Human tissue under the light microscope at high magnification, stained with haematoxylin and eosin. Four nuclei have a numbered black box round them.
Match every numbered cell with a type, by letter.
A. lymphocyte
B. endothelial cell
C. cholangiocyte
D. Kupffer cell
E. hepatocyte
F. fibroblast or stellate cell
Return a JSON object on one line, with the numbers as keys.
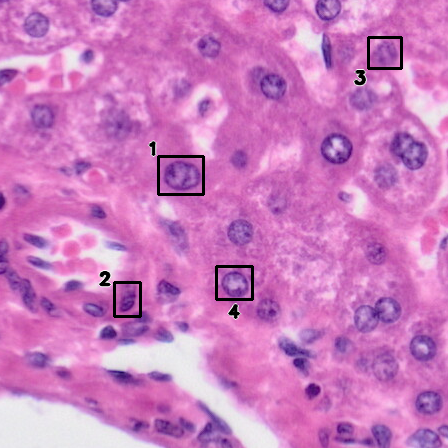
{"1": "E", "2": "F", "3": "E", "4": "E"}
